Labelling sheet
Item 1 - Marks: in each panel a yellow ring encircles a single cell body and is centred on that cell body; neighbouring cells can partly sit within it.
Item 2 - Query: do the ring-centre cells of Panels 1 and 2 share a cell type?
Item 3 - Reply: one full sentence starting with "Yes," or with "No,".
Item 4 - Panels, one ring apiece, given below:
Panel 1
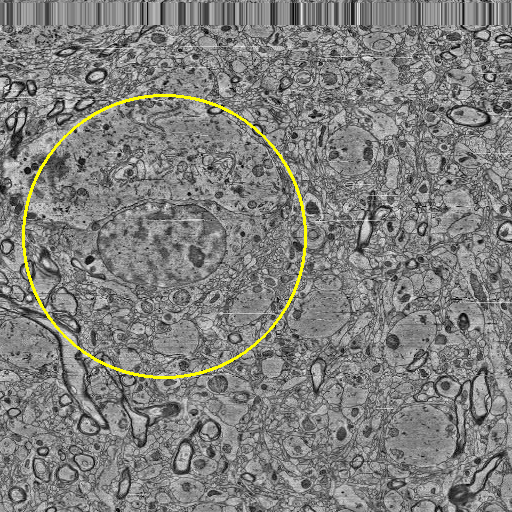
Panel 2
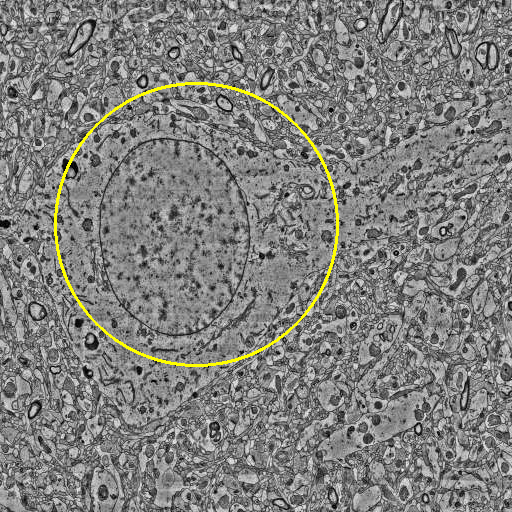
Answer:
No, Panel 1 and Panel 2 show two cell types at the centres of their rings.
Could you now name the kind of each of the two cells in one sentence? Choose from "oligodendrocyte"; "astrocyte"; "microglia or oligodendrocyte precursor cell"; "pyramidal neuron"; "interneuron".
The first ring encloses an oligodendrocyte; the second ring encloses a pyramidal neuron.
